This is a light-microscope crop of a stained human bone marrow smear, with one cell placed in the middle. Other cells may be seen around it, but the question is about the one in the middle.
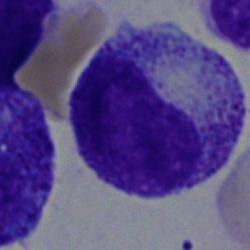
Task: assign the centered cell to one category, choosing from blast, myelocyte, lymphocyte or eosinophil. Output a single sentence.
For this crop, the cell in the middle is a myelocyte.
